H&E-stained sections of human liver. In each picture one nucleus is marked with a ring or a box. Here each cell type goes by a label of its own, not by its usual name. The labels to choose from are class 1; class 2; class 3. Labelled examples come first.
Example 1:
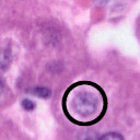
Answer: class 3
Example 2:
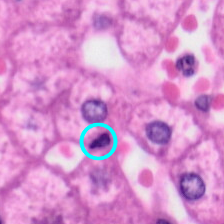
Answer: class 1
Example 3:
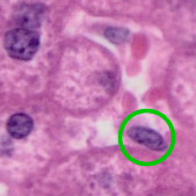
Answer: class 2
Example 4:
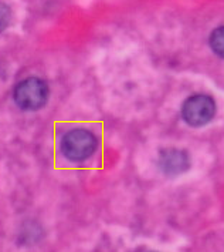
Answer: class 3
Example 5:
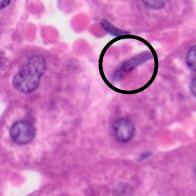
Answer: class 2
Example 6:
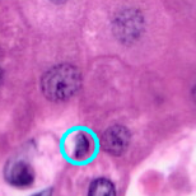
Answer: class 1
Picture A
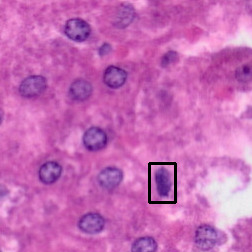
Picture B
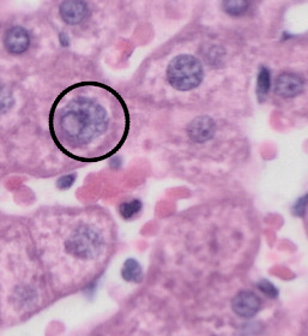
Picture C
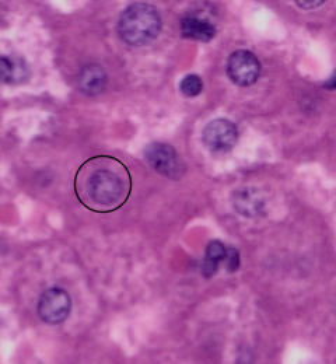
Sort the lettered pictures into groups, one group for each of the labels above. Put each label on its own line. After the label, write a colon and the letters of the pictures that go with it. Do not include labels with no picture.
class 1: A
class 3: B, C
